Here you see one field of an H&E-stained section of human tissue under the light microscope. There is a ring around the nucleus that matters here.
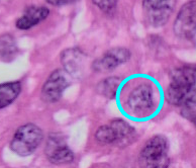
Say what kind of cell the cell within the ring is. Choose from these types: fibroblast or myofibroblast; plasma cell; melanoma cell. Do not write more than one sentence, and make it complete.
In this section, the cell within the ring is a melanoma cell.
